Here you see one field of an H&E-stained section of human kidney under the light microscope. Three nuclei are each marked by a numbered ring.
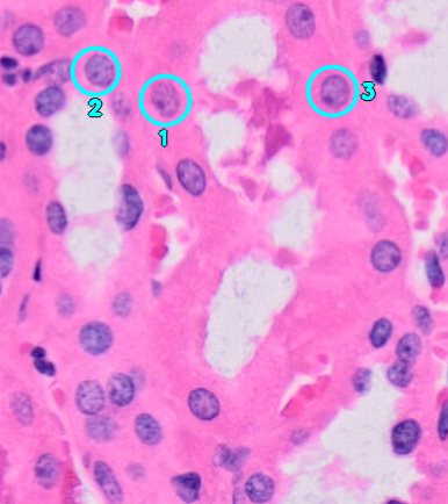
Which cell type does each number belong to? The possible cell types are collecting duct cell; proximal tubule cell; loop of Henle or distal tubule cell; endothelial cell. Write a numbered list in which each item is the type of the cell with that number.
1. proximal tubule cell
2. loop of Henle or distal tubule cell
3. proximal tubule cell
